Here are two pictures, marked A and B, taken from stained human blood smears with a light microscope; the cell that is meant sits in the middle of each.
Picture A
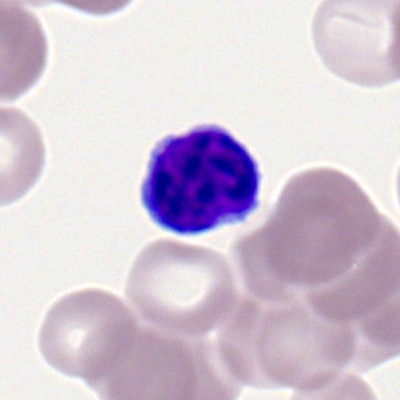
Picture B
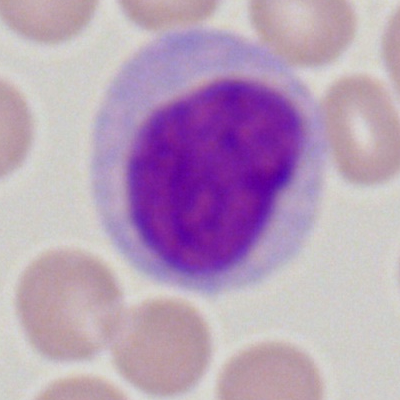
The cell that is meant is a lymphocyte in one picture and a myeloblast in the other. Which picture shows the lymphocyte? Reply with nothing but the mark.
A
